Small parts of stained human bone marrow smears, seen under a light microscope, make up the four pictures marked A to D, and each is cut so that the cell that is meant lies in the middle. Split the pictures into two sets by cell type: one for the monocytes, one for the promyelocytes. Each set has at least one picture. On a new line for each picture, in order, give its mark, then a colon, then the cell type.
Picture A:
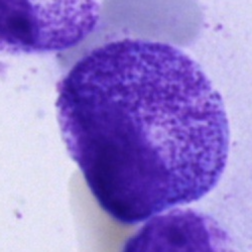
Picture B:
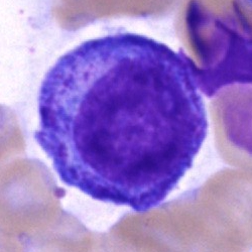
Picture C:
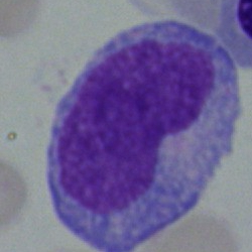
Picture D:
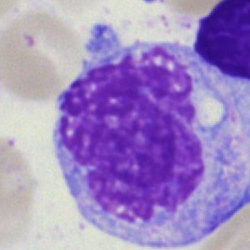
A: promyelocyte
B: promyelocyte
C: monocyte
D: monocyte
